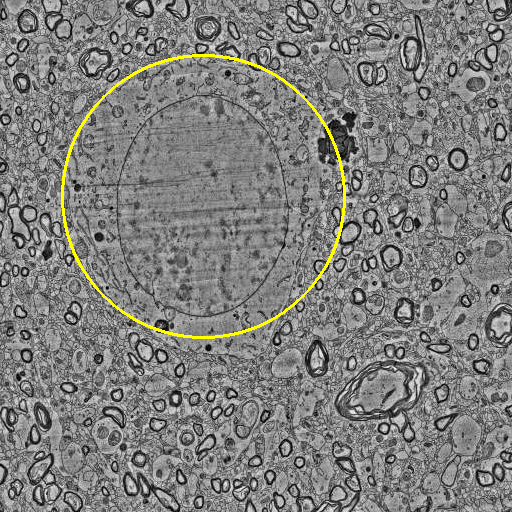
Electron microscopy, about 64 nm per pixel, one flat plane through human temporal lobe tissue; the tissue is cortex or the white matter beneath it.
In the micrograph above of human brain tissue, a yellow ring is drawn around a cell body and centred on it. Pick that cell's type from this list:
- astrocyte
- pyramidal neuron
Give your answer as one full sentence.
Going by the list, a pyramidal neuron is the cell on which the yellow ring is centred.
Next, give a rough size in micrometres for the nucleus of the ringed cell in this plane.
About 14 by 11 micrometres in this plane.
